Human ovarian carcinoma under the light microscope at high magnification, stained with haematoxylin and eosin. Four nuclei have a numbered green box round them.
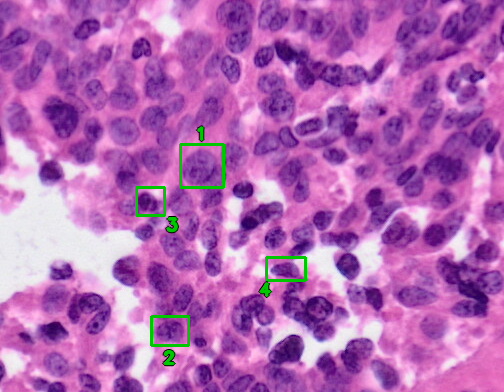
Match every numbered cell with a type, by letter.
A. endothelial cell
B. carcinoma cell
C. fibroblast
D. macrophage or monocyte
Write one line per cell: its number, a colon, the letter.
1: B
2: B
3: B
4: D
